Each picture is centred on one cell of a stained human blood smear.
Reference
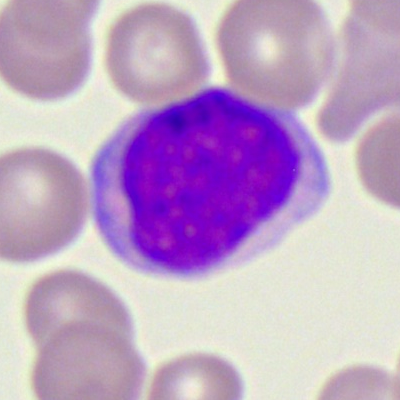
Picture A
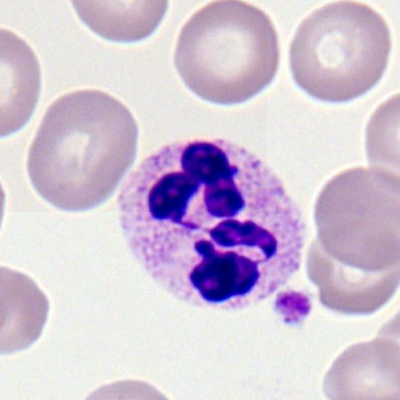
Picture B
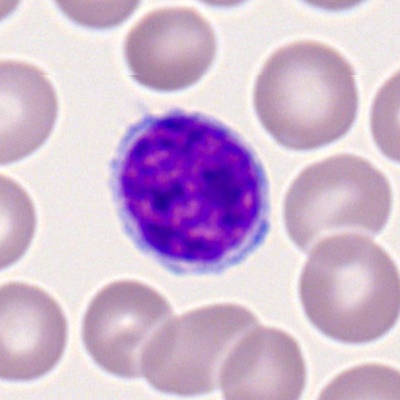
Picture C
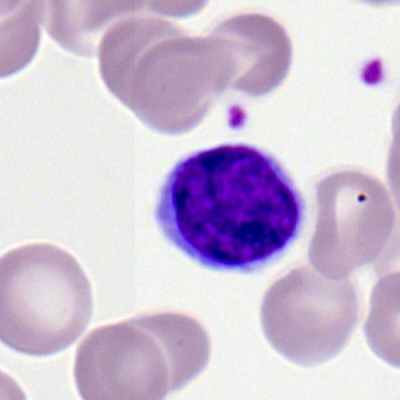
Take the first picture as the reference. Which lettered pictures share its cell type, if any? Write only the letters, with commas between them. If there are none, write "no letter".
no letter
